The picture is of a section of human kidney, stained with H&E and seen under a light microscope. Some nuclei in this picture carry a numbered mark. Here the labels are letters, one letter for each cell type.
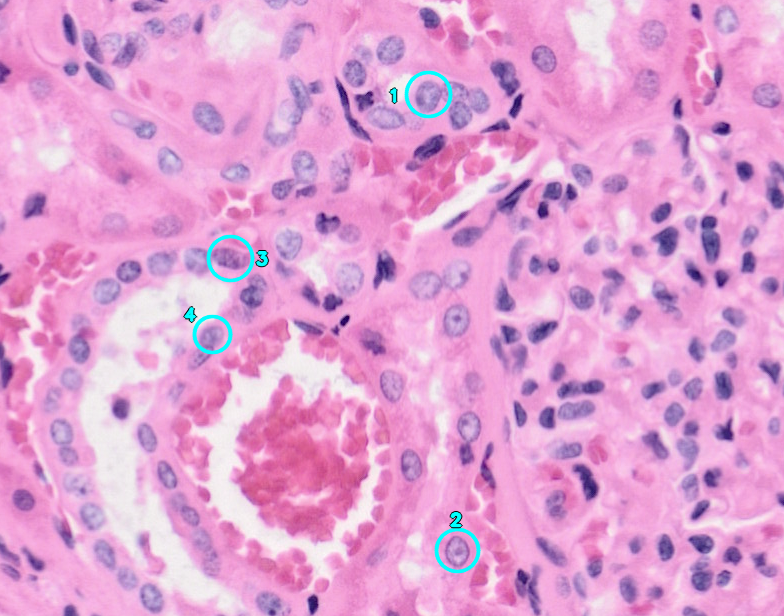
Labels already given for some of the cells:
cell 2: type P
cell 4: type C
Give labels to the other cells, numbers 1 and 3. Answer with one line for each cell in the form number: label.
1: type C
3: type C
